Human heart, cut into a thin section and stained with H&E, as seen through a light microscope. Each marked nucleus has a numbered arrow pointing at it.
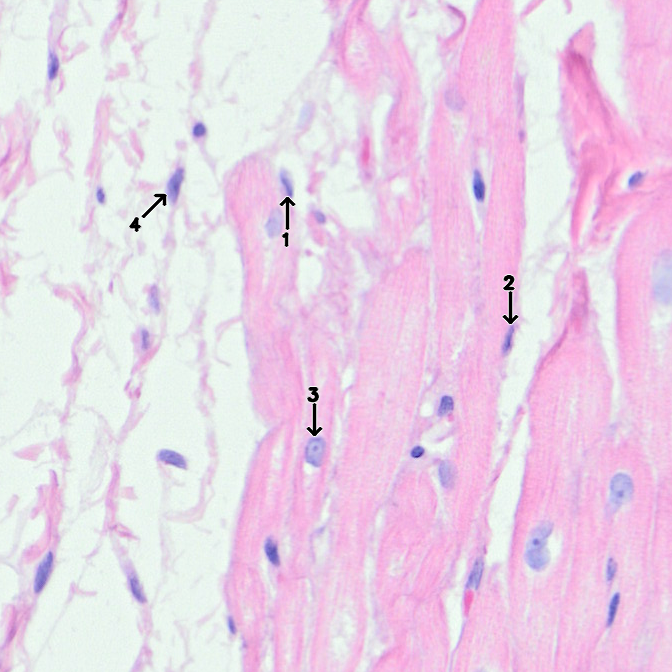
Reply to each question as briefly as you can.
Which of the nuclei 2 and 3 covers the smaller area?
2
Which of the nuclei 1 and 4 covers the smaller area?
1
